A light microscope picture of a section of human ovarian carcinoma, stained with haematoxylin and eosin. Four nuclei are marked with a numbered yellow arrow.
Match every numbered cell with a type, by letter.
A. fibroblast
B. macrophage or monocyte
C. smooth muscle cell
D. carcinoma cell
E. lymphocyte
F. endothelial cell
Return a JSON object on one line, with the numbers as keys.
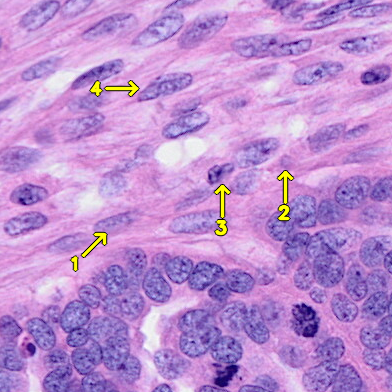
{"1": "A", "2": "A", "3": "E", "4": "A"}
